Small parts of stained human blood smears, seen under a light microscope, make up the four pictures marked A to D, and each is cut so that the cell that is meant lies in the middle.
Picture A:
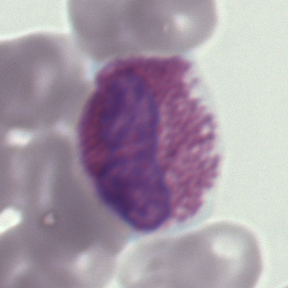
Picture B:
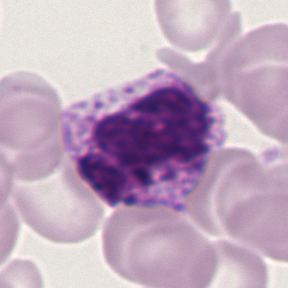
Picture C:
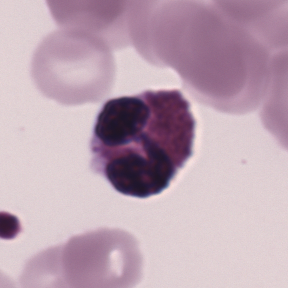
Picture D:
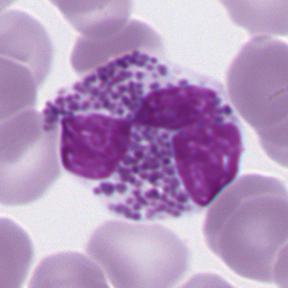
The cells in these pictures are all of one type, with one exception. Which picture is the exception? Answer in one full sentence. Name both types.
The different one is picture B; it shows a basophil, whereas all the others show eosinophils.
